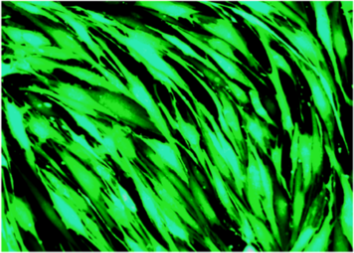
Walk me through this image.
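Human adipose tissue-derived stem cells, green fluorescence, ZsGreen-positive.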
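The cells are long and spindle-shaped with tapered ends, lying close together in parallel streams that sweep diagonally across the field. Narrow dark gaps separate neighbouring cells. The arrangement matches a dense, flat monolayer of fibroblast-like cells, with no rounded or clustered cells visible.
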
